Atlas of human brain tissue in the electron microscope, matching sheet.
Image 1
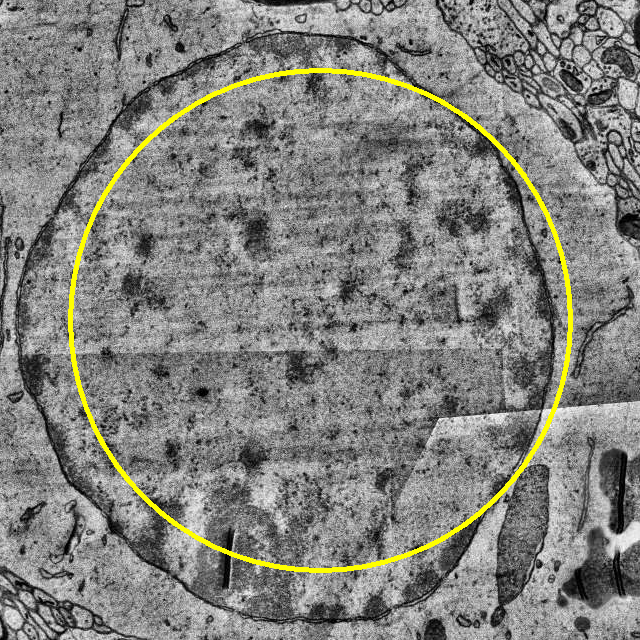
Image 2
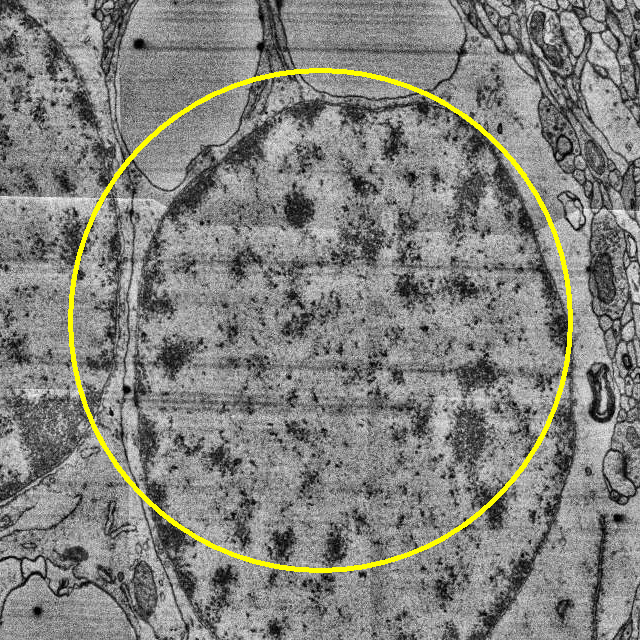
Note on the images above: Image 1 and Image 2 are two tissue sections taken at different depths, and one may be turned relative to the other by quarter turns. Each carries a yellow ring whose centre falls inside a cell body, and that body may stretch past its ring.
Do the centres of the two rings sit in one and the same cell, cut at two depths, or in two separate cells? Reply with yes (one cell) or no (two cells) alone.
no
